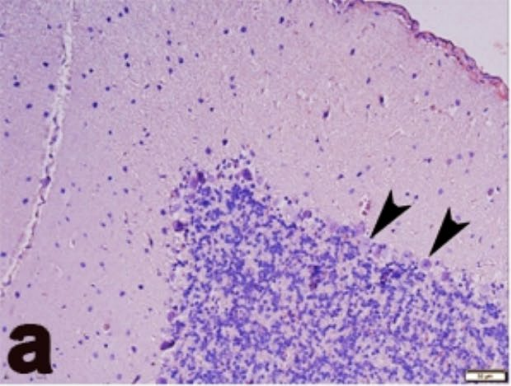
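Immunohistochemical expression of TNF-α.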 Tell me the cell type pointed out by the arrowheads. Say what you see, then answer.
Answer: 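The arrowheads point to the border between the dense blue granular layer and the pale molecular layer. On this evidence: Purkinje cell.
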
